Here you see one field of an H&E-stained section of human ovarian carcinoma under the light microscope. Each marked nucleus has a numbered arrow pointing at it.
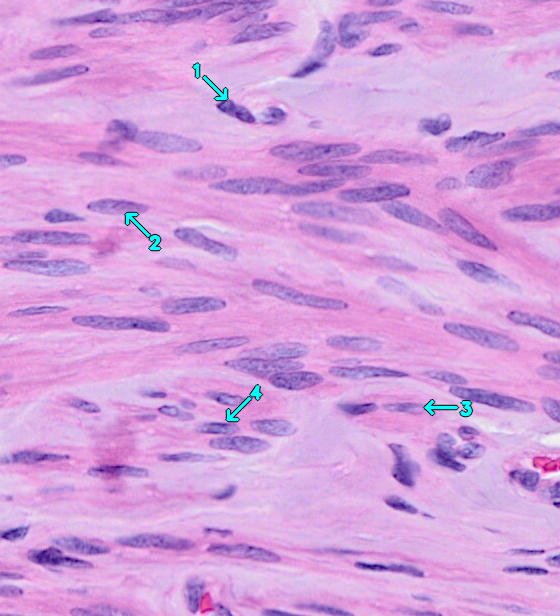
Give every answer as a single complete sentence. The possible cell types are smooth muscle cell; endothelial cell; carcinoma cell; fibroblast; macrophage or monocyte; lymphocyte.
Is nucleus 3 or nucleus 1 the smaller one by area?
With nucleus 1 about 1.5 times its size, nucleus 3 is the smaller of the two.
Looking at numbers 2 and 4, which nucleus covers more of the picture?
Of the two, number 2 is bigger and takes up about 2 times the area of number 4.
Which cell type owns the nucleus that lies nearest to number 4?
It is a smooth muscle cell whose nucleus is nearest to number 4.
